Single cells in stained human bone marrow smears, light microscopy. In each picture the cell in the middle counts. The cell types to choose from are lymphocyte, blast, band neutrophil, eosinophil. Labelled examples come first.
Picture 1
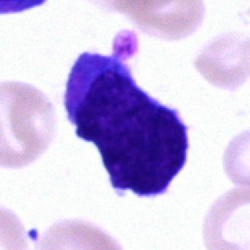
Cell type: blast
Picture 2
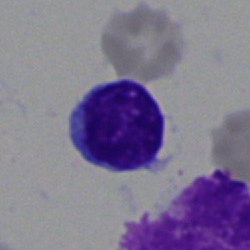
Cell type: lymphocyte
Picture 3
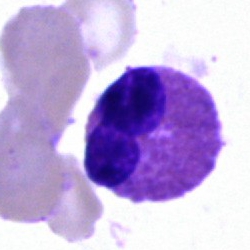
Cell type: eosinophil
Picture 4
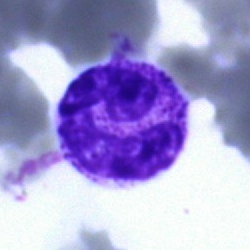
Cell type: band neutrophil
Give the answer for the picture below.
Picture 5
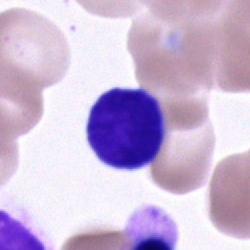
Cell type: lymphocyte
